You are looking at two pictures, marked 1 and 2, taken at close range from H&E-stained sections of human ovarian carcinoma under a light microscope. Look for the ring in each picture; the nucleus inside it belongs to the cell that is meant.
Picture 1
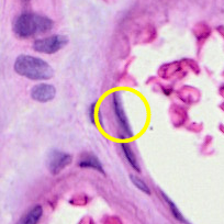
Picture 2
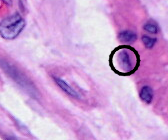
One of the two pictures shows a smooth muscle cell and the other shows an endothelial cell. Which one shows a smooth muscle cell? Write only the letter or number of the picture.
2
